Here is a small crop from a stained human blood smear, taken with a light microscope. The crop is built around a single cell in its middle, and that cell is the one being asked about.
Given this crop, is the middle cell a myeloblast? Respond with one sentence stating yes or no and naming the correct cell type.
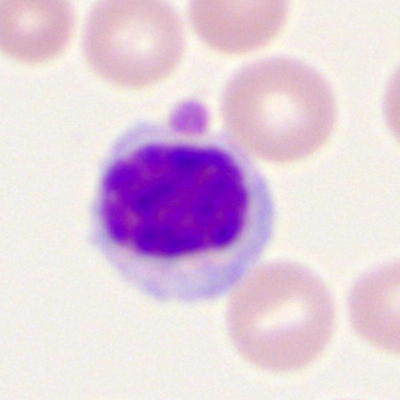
No, calling it a myeloblast is wrong; the middle cell is a lymphocyte.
